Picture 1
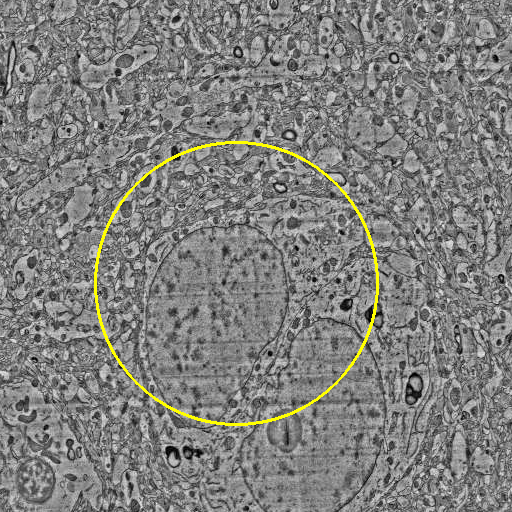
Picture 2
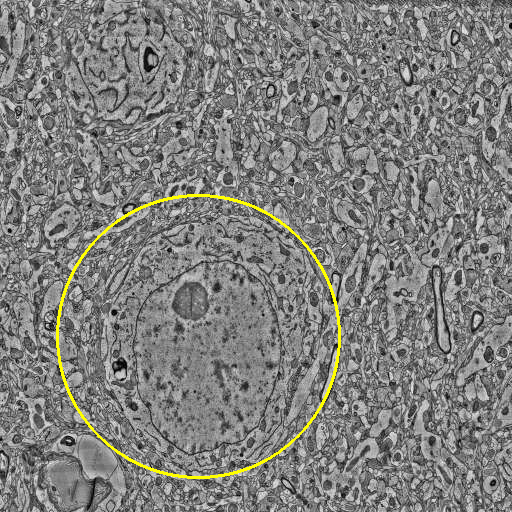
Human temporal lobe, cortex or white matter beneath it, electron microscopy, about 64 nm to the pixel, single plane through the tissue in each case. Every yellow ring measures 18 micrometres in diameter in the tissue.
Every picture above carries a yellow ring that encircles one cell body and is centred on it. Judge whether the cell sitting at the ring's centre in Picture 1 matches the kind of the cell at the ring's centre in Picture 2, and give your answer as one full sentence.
Yes, the cells centred in the rings of Pictures 1 and 2 belong to one kind.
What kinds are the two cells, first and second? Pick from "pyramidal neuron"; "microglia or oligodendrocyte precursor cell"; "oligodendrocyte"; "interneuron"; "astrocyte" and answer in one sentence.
Each of the two rings surrounds a pyramidal neuron.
